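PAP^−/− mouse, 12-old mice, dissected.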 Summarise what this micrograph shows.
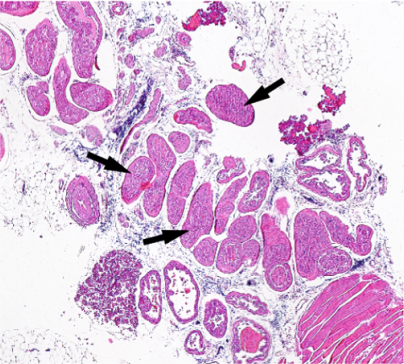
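This low-power section of prostate lobe shows many closely packed glands whose lumens are largely filled with cells. The glands are round to elongated and crowded together, with only thin strands of loose stroma between them. Inside many glands the space is occupied by purple-pink cellular material instead of clear secretion, so the glands look solid. Some scattered glands still show open lumens with pink secretion. Loose pale connective tissue surrounds the lobe, and a band of skeletal muscle appears at one corner.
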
